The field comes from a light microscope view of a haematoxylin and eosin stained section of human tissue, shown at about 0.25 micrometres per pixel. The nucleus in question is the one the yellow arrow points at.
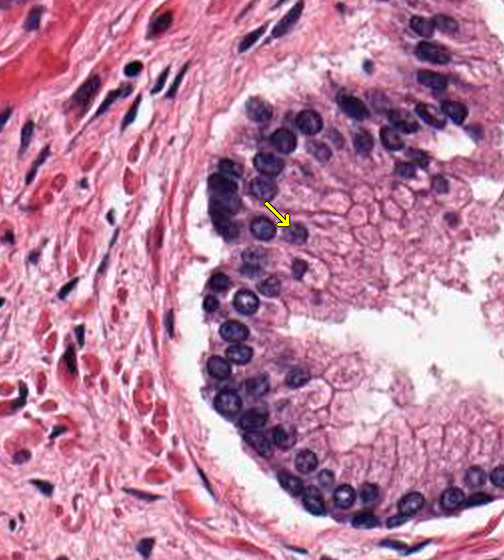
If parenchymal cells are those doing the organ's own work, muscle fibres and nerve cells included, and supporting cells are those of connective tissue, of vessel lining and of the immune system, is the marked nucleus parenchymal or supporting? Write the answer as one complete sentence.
Here the marked nucleus belongs to a parenchymal cell, that is, a prostate gland luminal cell.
